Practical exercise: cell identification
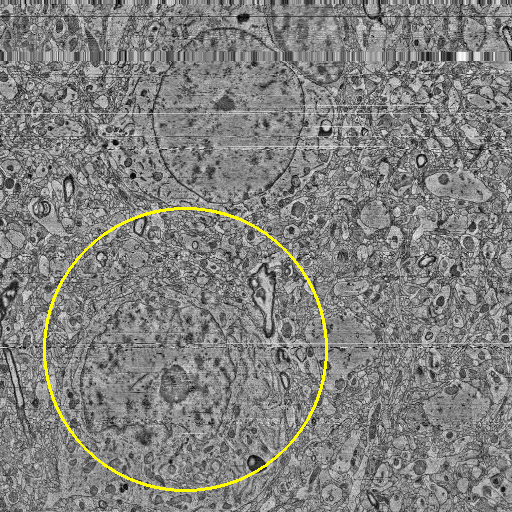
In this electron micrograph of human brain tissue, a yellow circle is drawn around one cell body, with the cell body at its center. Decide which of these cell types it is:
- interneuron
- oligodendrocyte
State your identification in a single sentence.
The ringed cell is an interneuron.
